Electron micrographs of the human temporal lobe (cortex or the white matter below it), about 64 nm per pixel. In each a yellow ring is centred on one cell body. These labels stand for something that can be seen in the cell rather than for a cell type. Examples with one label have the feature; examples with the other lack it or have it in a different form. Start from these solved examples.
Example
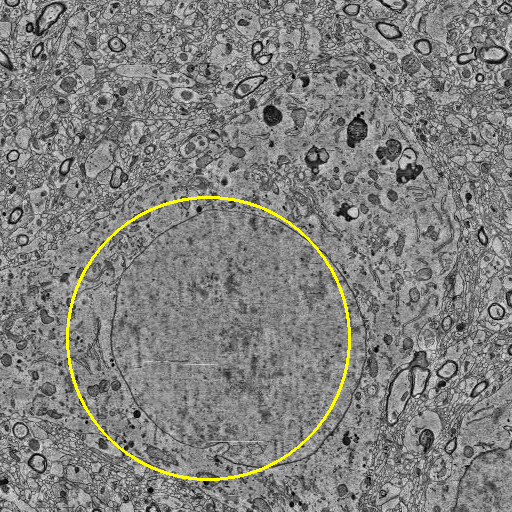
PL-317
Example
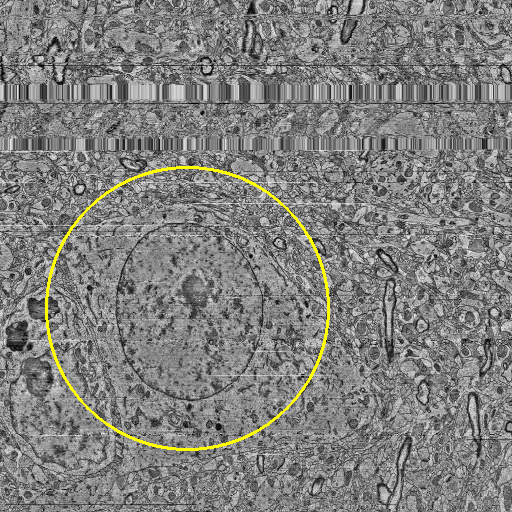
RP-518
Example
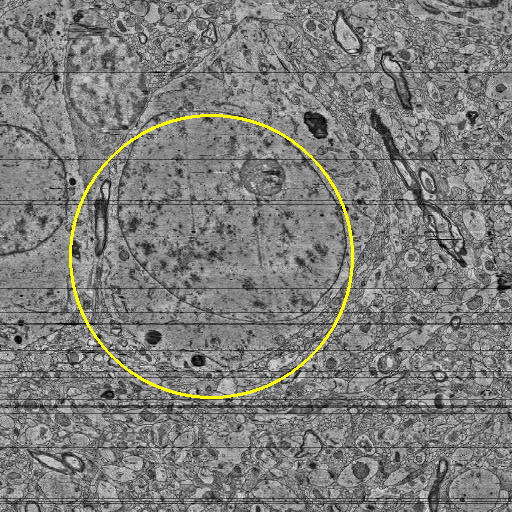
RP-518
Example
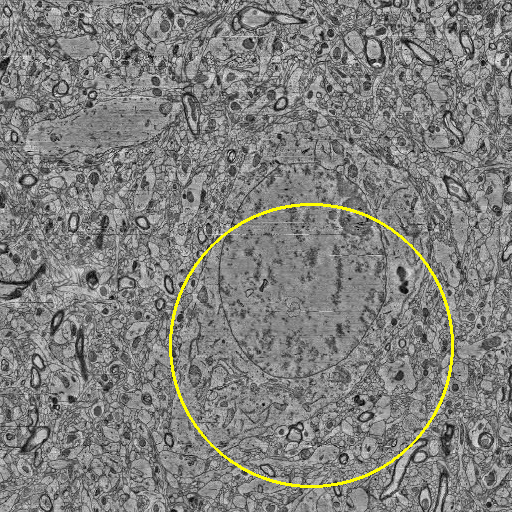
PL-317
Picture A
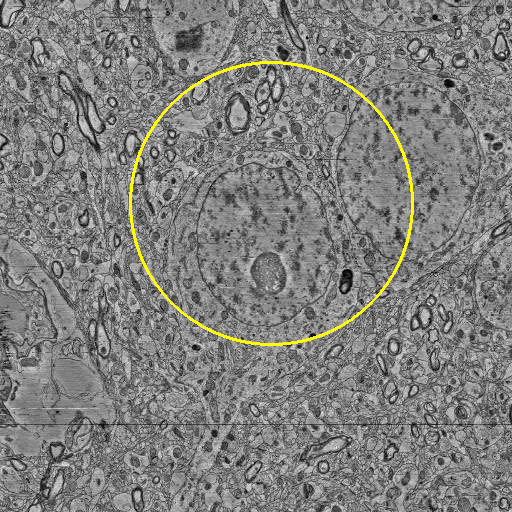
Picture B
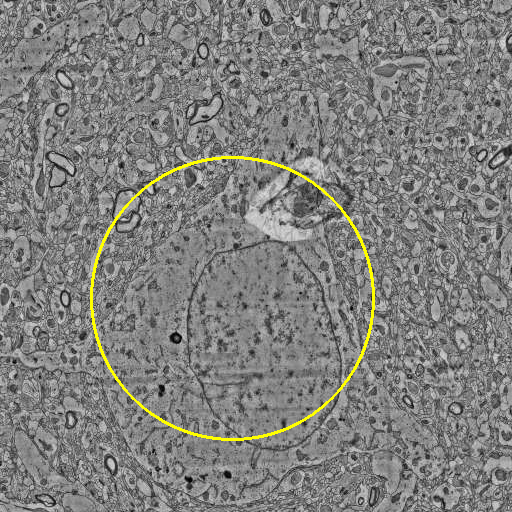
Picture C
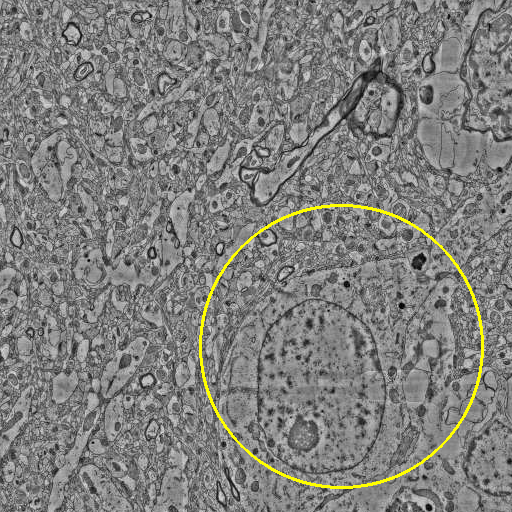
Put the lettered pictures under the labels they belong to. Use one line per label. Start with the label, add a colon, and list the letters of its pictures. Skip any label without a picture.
PL-317: B
RP-518: A, C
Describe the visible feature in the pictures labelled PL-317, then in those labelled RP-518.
PL-317, no nucleolus seen; RP-518, nucleolus seen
